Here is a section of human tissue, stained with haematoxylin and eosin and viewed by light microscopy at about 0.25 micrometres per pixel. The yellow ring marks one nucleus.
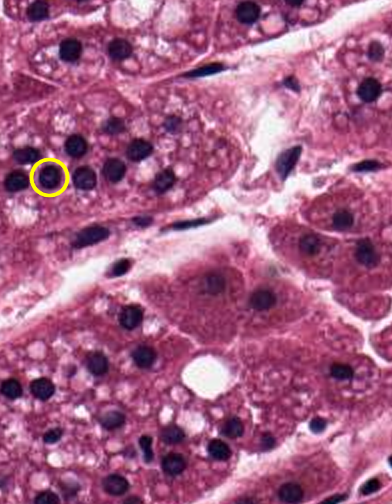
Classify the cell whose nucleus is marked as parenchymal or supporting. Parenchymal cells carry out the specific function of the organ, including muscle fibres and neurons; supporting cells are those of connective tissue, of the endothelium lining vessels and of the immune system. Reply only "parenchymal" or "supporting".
parenchymal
